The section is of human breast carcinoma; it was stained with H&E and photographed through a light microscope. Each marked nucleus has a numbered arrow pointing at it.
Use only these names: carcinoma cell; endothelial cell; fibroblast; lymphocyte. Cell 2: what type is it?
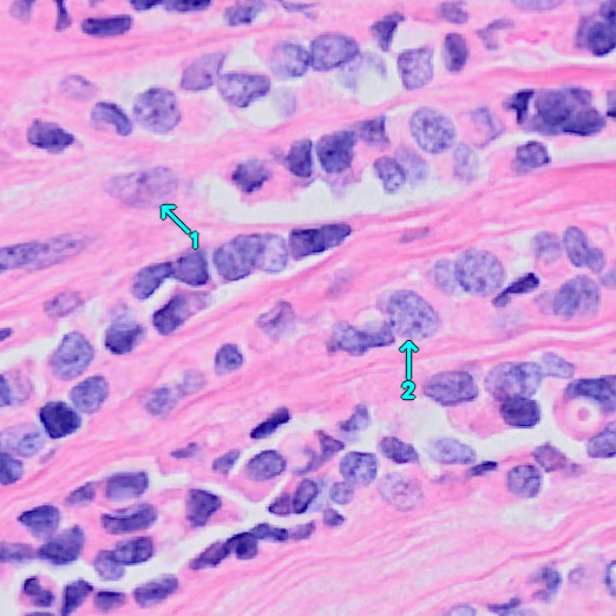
carcinoma cell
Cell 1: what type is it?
fibroblast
